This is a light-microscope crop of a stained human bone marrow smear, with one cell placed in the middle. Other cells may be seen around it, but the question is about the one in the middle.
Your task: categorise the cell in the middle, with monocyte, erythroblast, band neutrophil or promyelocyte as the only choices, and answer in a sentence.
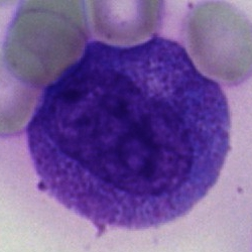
The centrally placed cell is classified as a promyelocyte.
